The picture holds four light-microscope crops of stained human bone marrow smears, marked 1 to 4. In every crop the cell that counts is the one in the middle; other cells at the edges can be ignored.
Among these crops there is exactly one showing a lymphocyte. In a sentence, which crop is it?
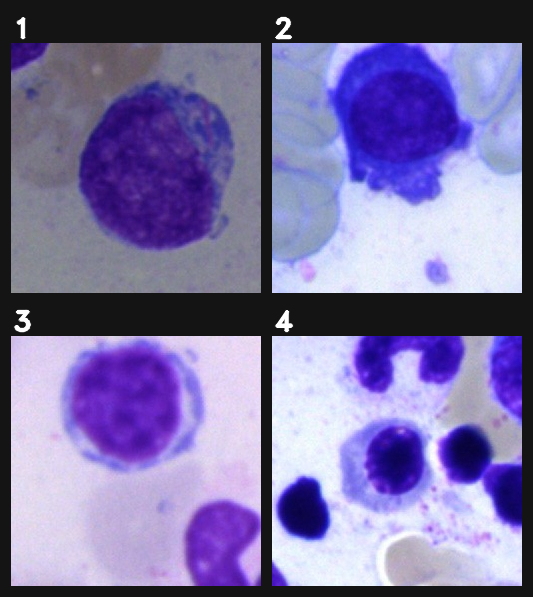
Among all the crops given here, the one with a lymphocyte is crop 3.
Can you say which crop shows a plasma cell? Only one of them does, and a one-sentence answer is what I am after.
The requested cell, a plasma cell, is the one in crop 2.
